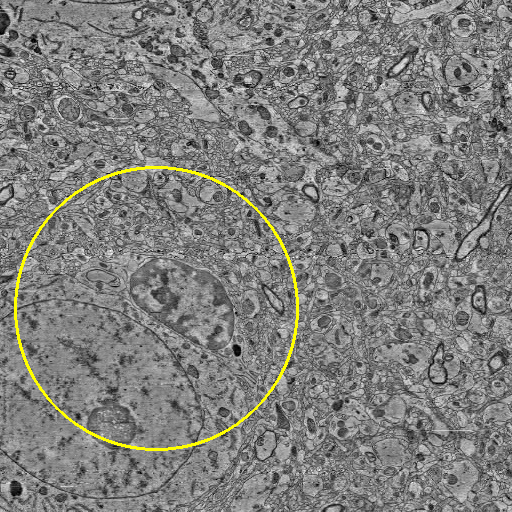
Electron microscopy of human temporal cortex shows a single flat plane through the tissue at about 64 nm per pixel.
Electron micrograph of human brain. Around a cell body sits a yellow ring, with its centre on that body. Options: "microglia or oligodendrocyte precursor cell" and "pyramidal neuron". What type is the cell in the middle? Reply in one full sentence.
The cell sitting at the centre of the yellow ring is a microglial cell or oligodendrocyte precursor cell.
